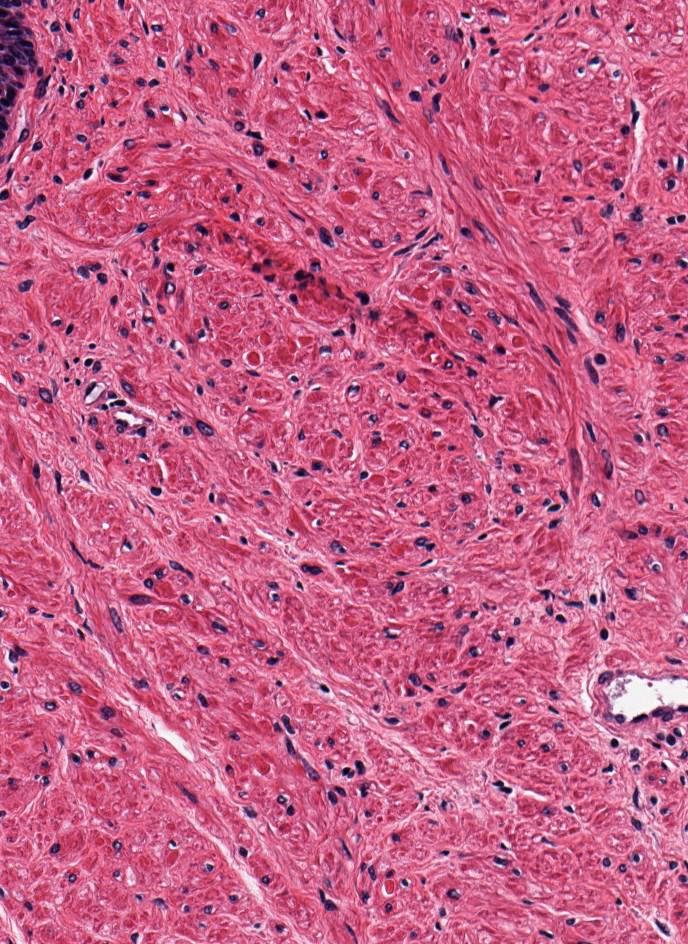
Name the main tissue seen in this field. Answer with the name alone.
fibromuscular stroma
